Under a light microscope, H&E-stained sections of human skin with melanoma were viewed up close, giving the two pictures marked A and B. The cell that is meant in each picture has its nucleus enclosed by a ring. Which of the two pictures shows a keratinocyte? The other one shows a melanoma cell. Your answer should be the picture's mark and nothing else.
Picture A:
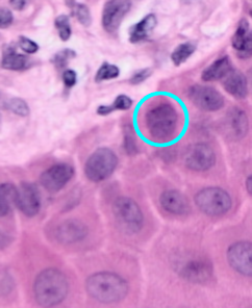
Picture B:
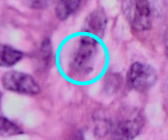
A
